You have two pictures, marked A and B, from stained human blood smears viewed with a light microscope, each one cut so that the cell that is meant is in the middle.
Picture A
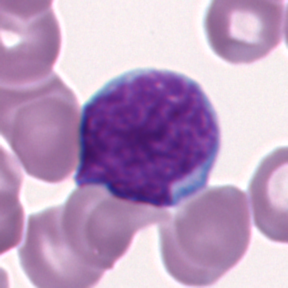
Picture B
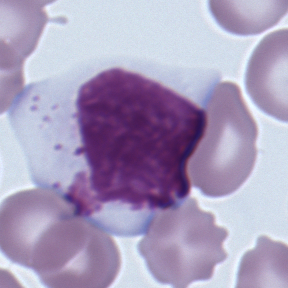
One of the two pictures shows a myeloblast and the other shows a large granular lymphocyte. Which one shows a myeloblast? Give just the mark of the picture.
A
